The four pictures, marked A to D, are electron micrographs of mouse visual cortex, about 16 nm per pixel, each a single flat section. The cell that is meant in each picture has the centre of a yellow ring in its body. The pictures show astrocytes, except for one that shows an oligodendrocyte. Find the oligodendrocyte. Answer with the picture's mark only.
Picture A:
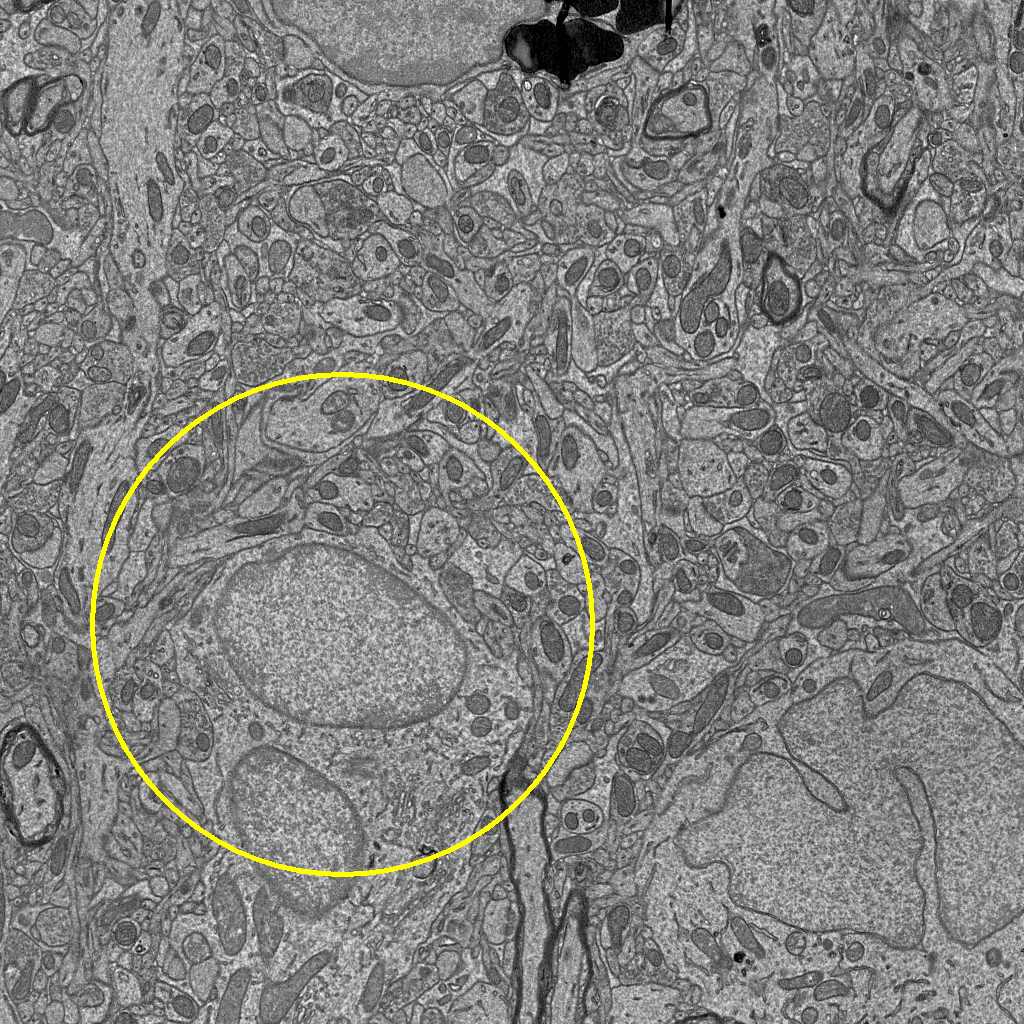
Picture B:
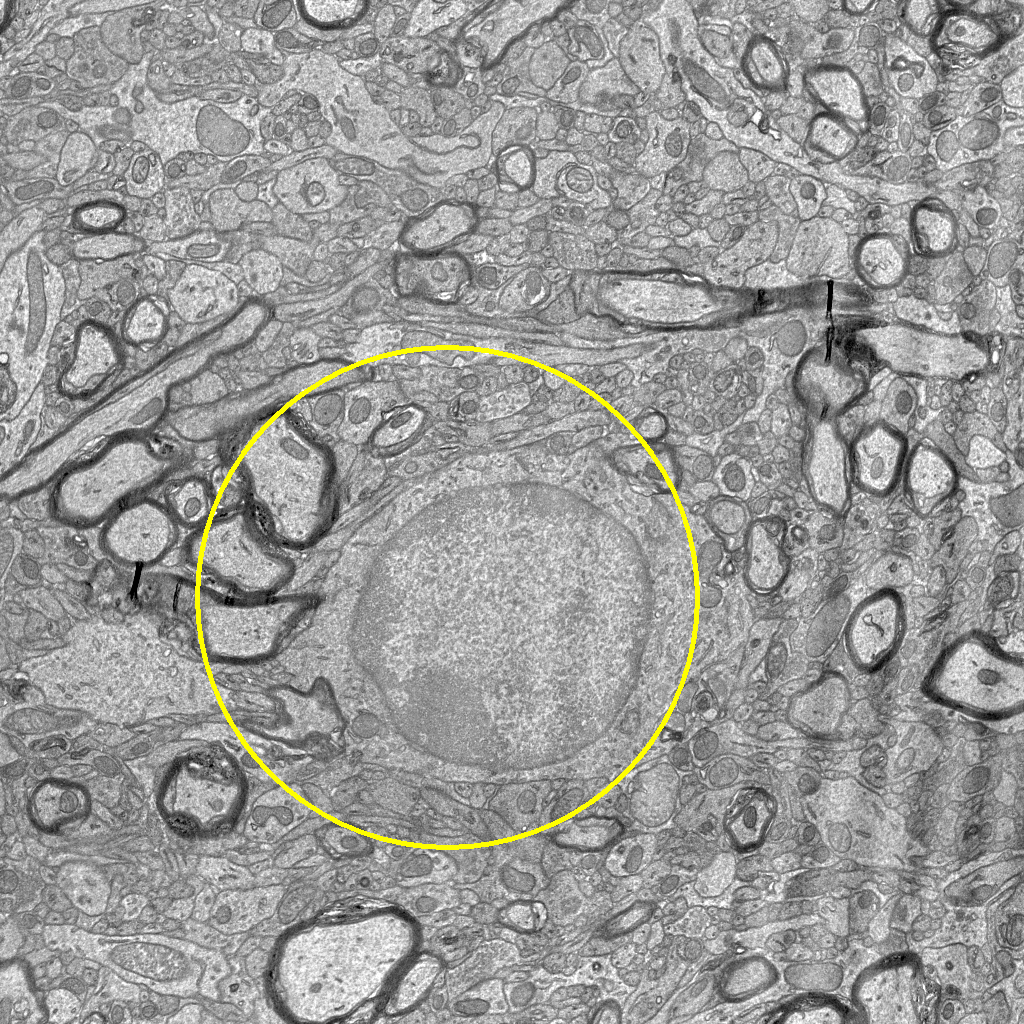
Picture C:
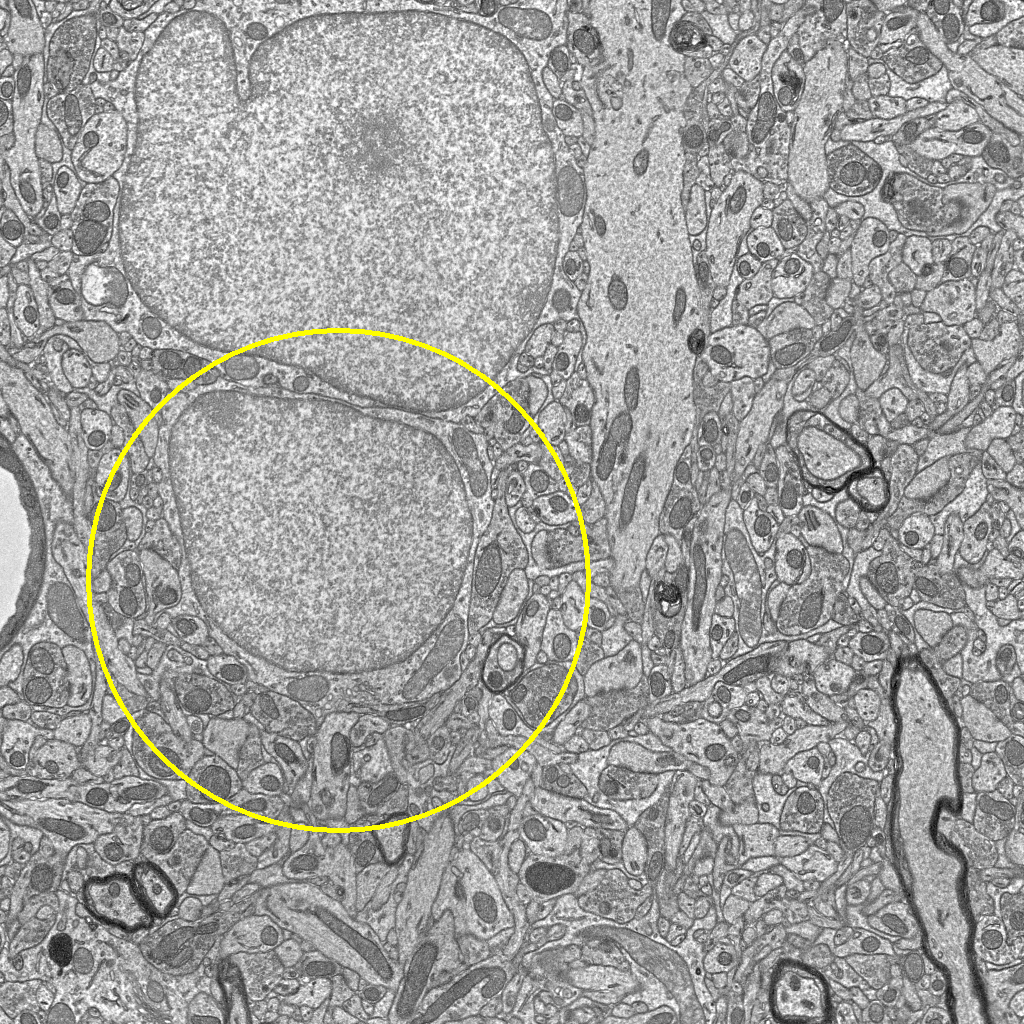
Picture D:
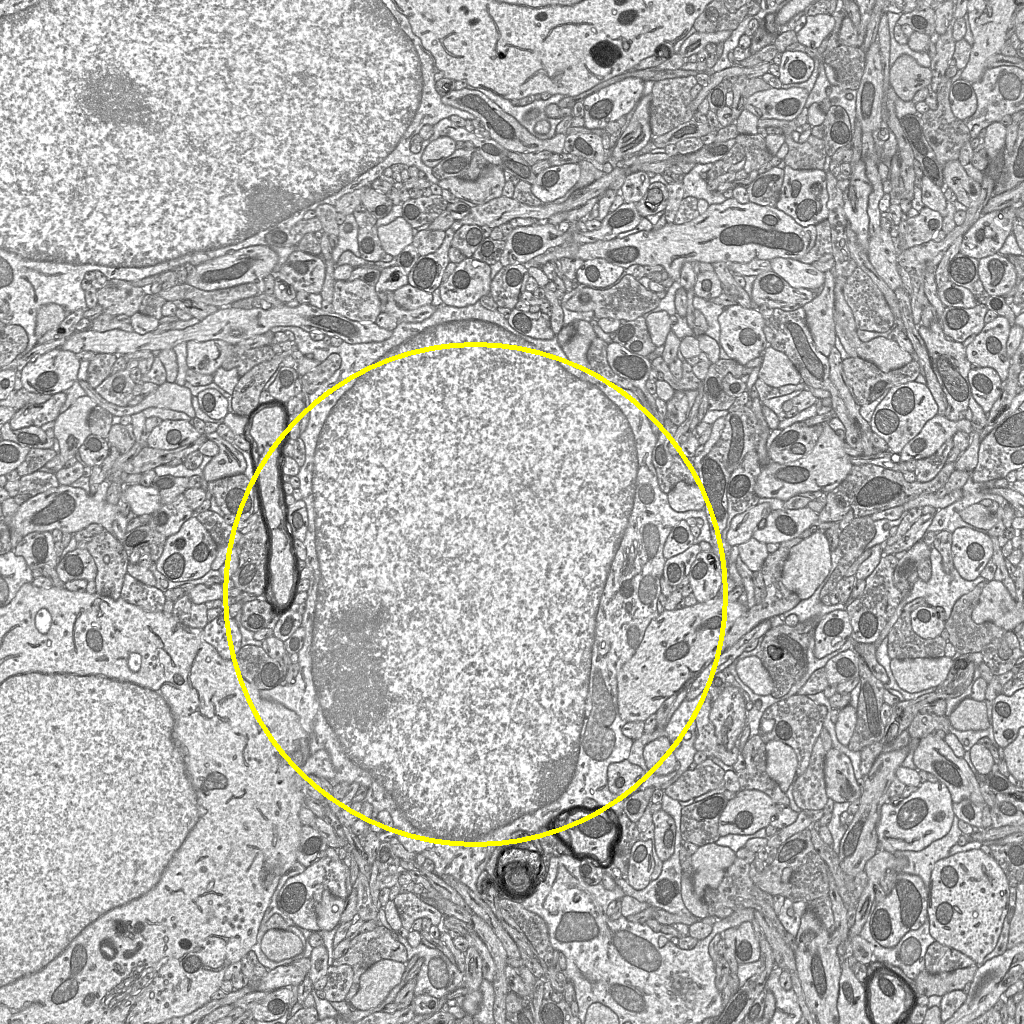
B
